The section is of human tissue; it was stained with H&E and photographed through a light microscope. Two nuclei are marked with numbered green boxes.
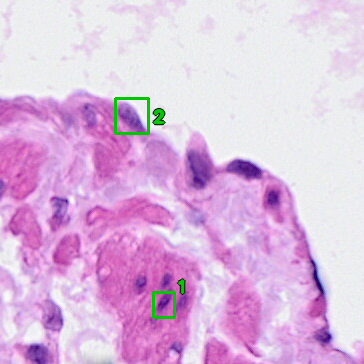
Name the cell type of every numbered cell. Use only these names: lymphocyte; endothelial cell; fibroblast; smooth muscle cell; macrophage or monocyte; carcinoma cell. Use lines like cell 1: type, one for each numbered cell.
cell 1: smooth muscle cell
cell 2: endothelial cell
